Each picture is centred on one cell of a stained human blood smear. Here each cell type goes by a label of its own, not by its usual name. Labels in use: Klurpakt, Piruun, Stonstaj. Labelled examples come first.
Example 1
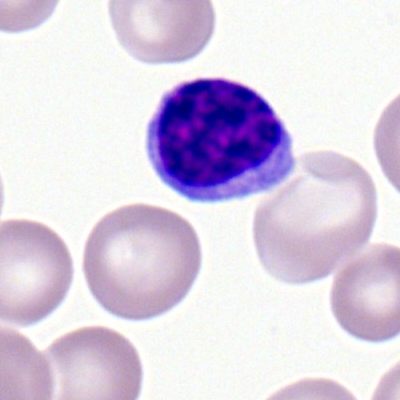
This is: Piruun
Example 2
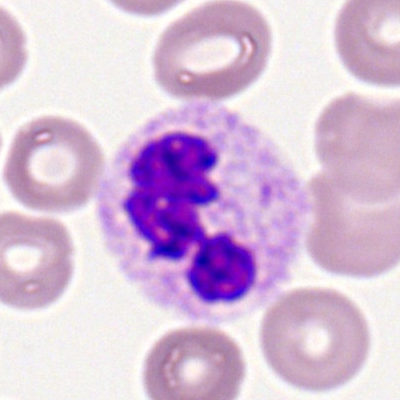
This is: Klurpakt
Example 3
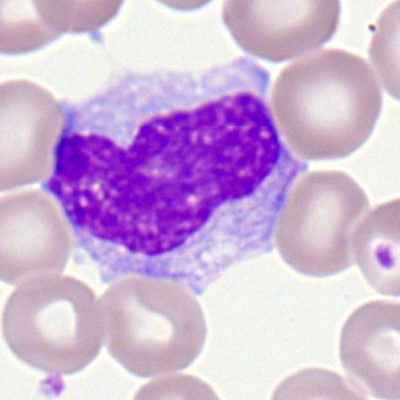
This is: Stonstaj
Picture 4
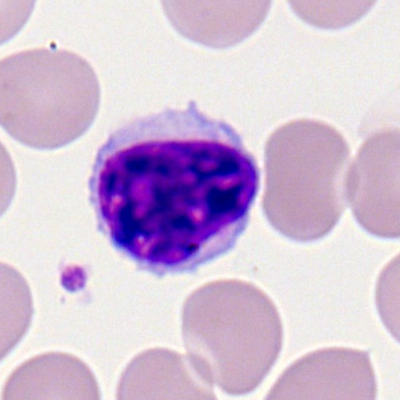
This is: Piruun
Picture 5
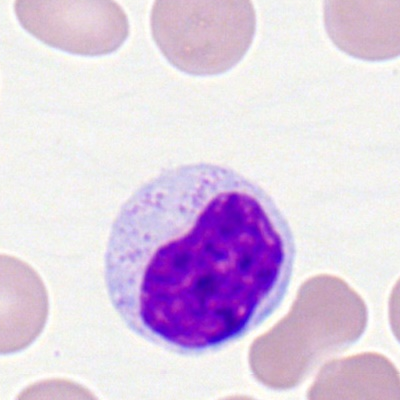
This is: Piruun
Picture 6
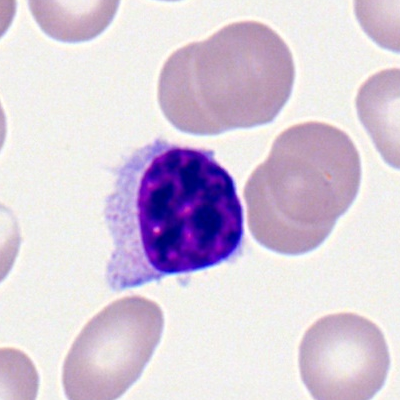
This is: Piruun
